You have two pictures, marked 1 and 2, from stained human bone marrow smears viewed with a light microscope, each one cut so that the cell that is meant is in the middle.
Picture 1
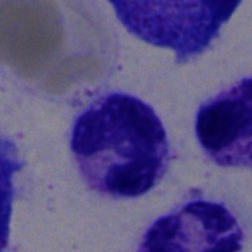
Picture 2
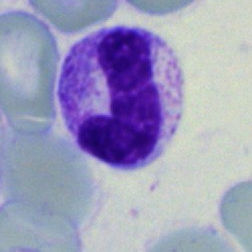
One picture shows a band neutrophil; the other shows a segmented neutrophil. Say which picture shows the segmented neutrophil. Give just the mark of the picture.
1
